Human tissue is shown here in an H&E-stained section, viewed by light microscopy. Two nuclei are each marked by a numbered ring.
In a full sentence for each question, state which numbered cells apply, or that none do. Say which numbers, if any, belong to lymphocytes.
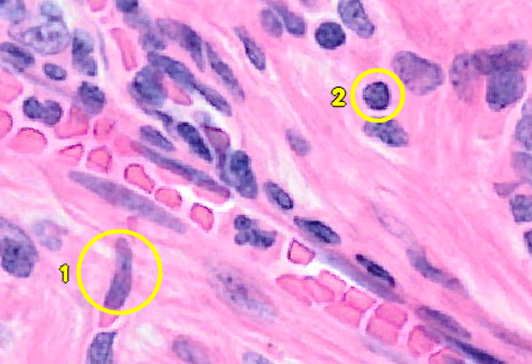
Cell 2 alone, of all the numbered cells, is a lymphocyte.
